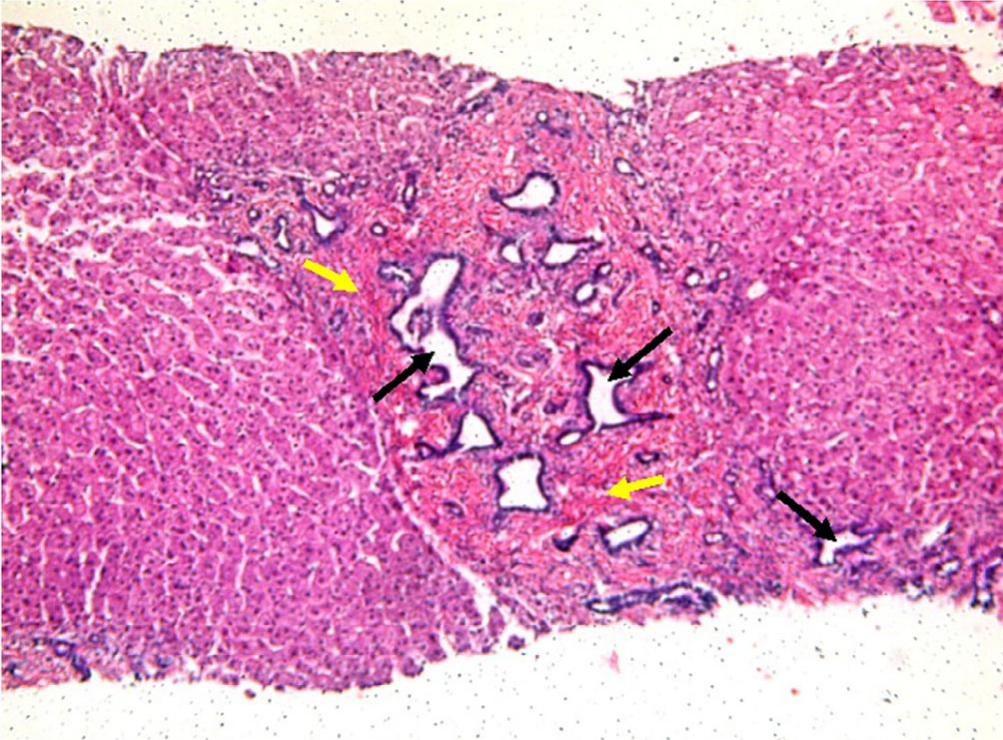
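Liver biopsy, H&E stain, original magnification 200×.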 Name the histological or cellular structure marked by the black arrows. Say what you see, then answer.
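Distorted dilated bile ducts. Irregular, branching lumens lined by a single layer of small dark-nucleated epithelial cells. The lumens are wide and angular rather than small and round. Several such ducts cluster together within a pink fibrous area.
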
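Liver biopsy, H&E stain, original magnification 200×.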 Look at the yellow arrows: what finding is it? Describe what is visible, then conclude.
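A broad pink fibrous zone sits between plates of liver cells. The zone holds many duct-like lumens. It is much wider than a small portal area.
Answer: portal tract expansions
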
